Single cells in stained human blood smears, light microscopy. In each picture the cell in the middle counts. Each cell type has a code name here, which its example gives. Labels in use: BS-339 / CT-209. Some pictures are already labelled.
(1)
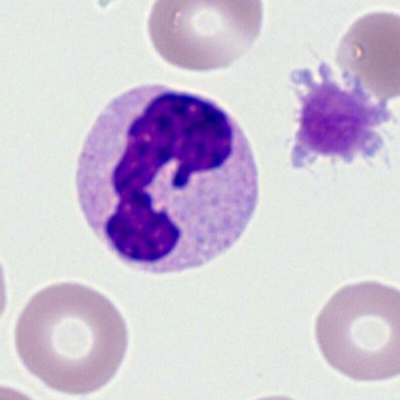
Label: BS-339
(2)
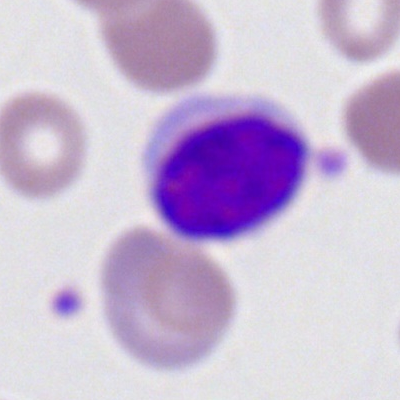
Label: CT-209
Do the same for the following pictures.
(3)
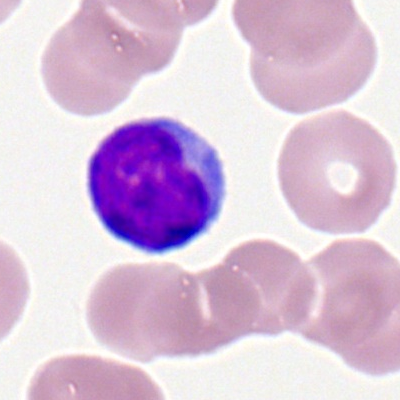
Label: CT-209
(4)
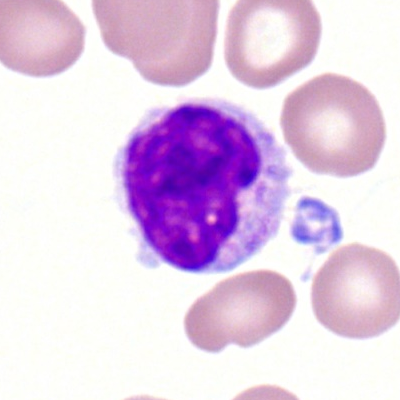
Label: CT-209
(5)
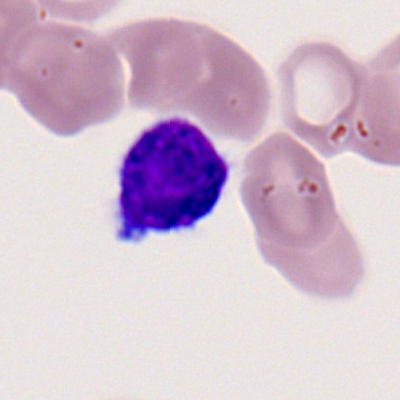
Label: CT-209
